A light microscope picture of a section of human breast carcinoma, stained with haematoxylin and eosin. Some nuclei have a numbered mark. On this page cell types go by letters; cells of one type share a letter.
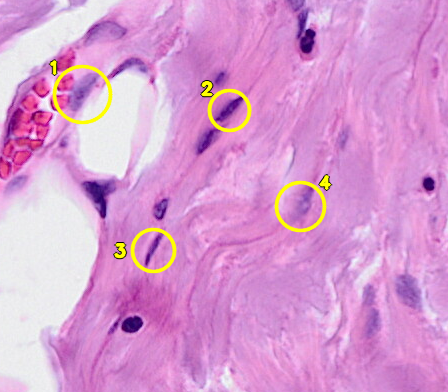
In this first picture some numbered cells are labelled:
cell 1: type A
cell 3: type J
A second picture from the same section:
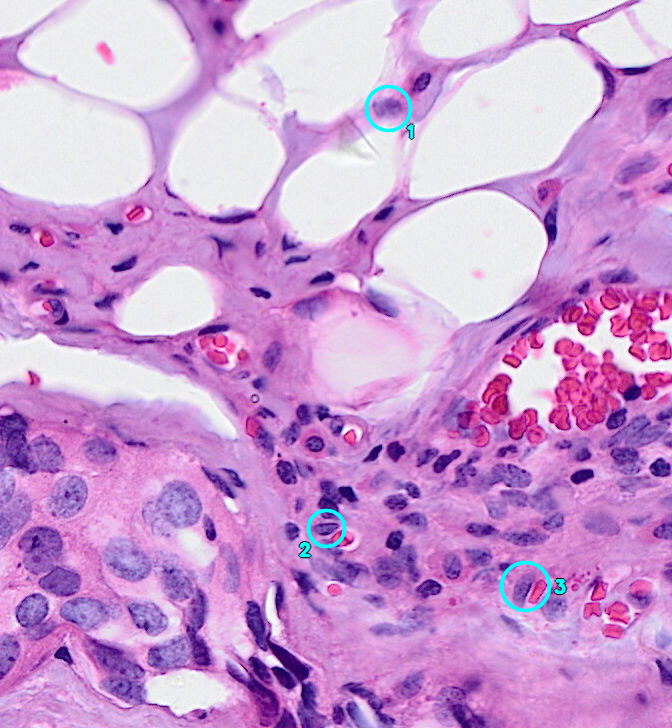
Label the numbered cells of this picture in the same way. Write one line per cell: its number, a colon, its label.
1: type J
2: type A
3: type A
